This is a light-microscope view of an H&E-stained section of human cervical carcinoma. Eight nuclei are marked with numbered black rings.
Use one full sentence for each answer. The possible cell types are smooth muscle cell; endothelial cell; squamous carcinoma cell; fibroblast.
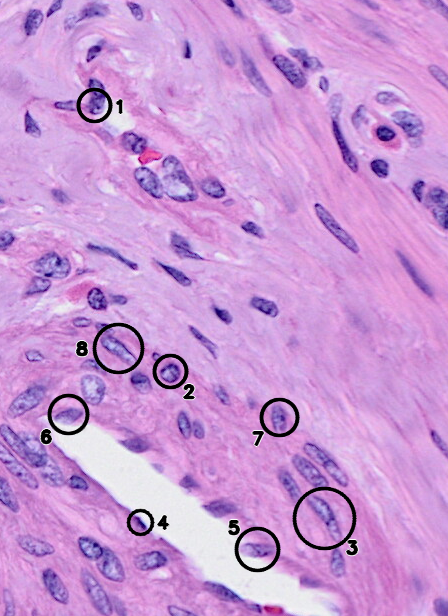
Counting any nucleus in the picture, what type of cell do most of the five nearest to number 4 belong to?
Smooth muscle cells make up most of the five nuclei closest to number 4.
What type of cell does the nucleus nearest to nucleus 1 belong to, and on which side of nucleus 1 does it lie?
It is an endothelial cell, whose nucleus lies above nucleus 1.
